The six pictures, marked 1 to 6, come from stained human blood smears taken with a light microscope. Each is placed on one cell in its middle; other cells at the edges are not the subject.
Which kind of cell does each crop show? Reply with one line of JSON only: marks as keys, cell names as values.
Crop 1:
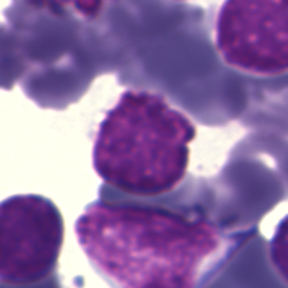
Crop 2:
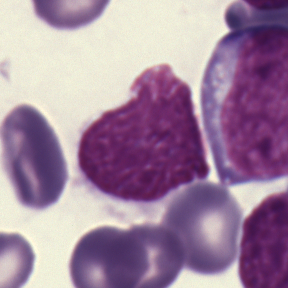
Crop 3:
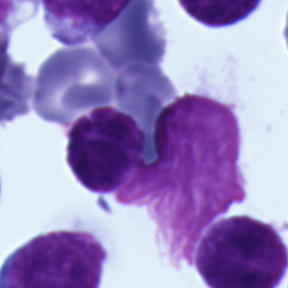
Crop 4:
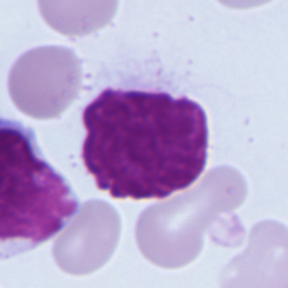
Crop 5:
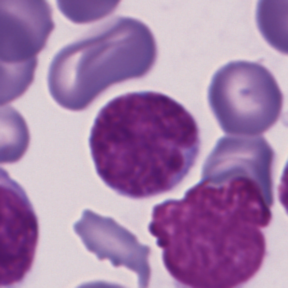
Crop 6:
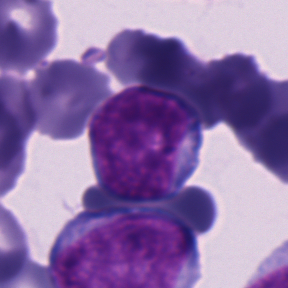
{"1": "smudge cell", "2": "myeloblast", "3": "smudge cell", "4": "smudge cell", "5": "myeloblast", "6": "myeloblast"}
